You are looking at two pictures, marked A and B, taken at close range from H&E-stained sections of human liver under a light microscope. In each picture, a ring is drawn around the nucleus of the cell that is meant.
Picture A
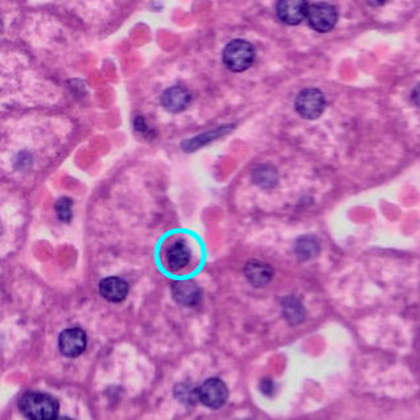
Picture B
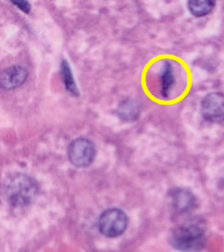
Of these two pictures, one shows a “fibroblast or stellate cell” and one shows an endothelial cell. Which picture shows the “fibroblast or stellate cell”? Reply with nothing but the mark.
A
